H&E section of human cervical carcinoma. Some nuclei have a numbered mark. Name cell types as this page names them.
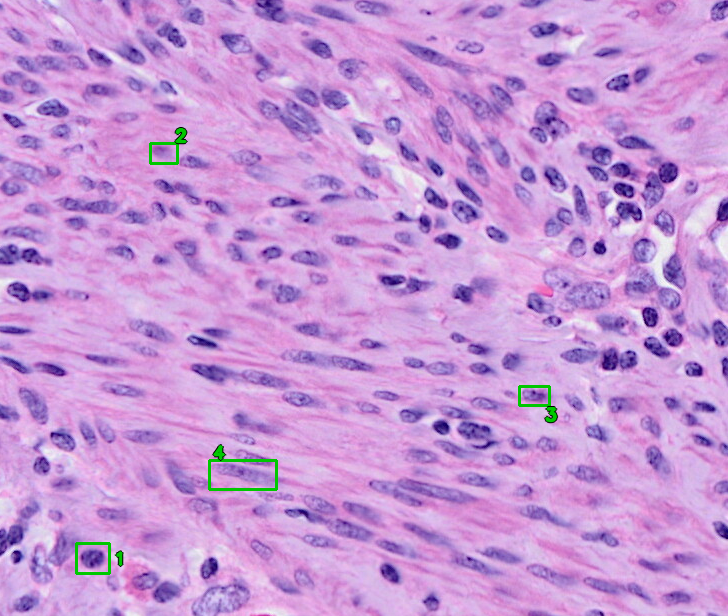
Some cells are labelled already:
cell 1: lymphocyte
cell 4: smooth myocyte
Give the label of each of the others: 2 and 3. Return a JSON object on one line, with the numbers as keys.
{"2": "smooth myocyte", "3": "smooth myocyte"}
